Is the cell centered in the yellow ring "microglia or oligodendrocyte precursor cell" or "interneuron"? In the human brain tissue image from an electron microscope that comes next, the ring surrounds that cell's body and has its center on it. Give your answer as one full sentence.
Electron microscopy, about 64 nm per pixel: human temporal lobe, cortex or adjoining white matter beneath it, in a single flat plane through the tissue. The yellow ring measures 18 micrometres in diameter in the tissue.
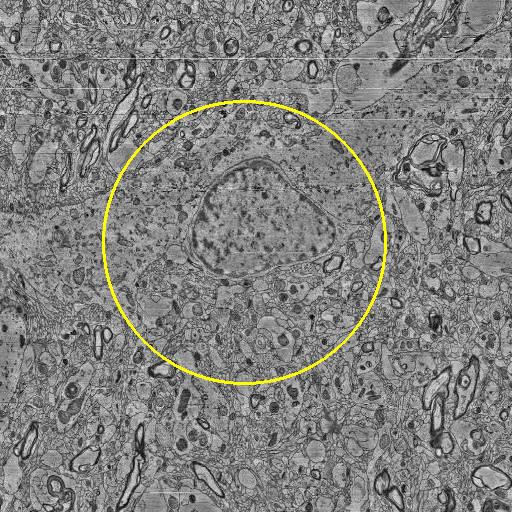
The cell at the center of the yellow ring is a microglial cell or oligodendrocyte precursor cell in the micrograph.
